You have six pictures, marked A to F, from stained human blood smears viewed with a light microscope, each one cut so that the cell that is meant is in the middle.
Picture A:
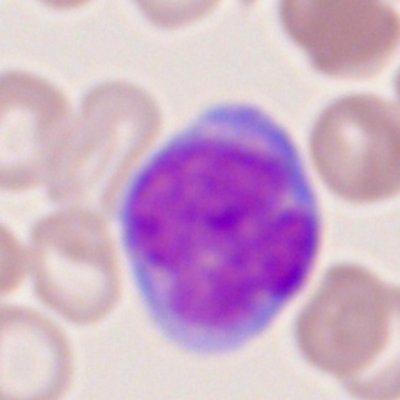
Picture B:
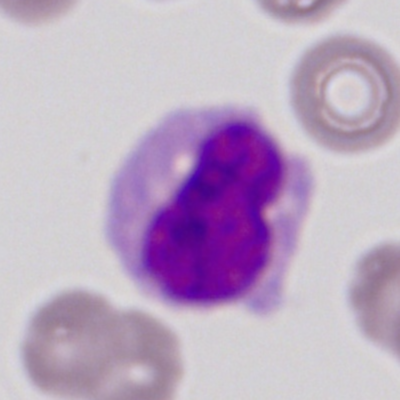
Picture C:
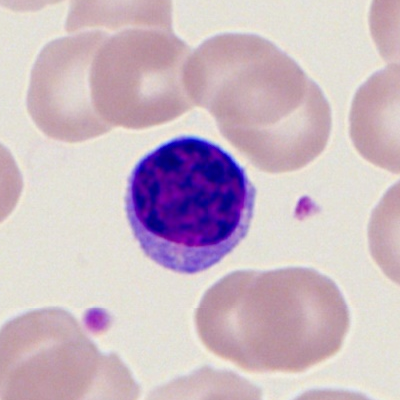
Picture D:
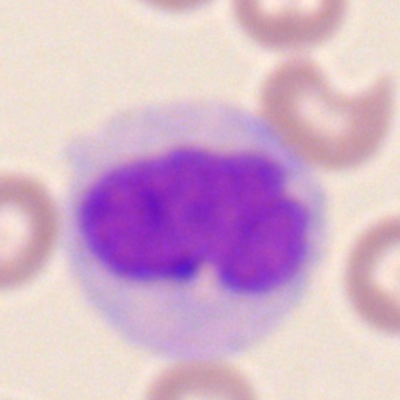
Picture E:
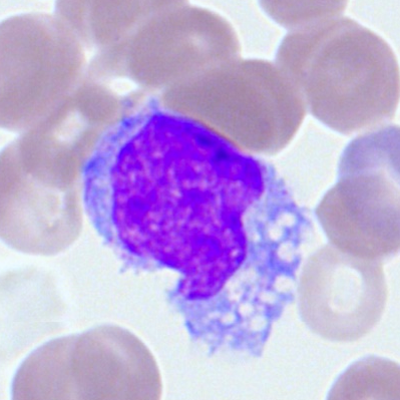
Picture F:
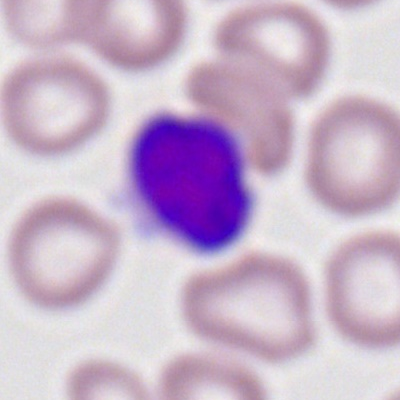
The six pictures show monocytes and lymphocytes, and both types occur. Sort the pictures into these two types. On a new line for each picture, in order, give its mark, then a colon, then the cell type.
A: monocyte
B: monocyte
C: lymphocyte
D: monocyte
E: monocyte
F: lymphocyte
